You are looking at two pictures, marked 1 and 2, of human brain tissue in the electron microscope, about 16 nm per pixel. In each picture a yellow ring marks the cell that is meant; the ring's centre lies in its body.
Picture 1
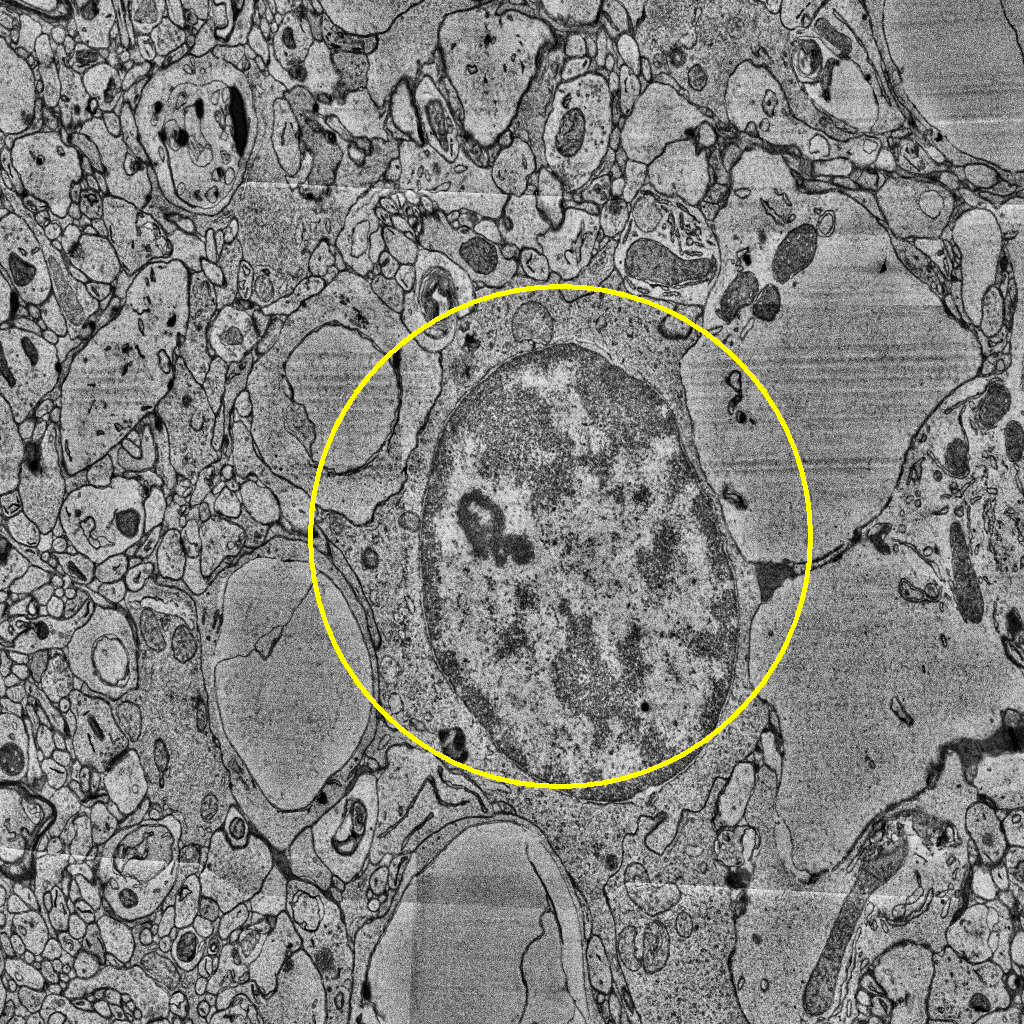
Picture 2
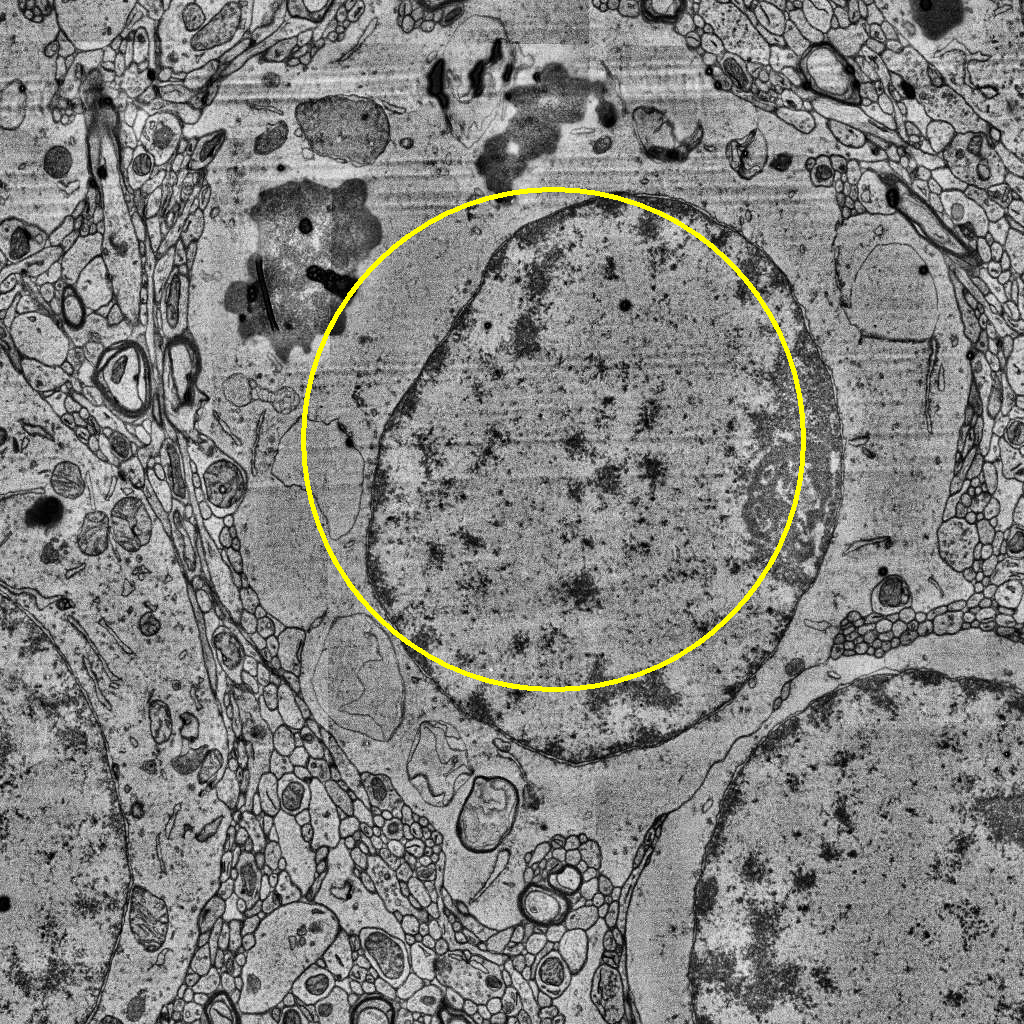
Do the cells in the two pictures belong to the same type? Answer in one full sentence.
No. Picture 1 shows an oligodendrocyte, but picture 2 shows an astrocyte.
